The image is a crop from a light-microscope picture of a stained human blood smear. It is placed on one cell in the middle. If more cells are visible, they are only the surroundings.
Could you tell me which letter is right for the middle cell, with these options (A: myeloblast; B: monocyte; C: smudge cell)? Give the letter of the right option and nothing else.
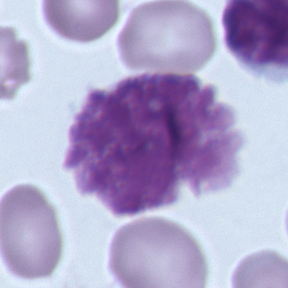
C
